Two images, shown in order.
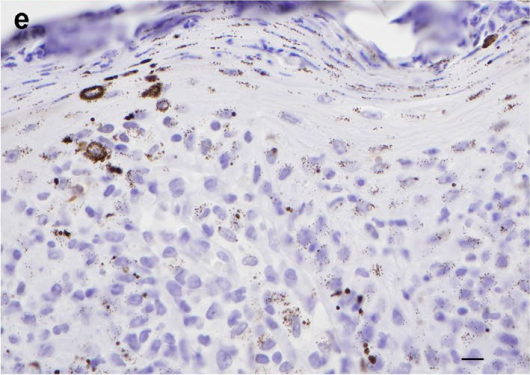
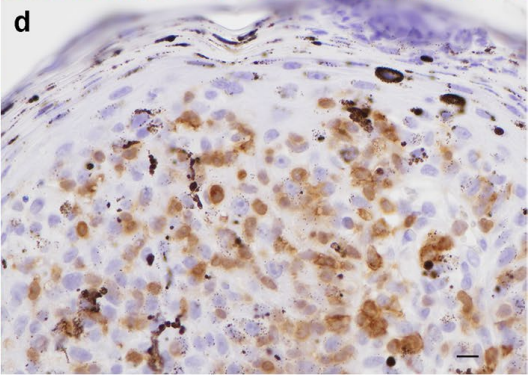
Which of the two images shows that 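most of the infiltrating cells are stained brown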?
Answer: the second image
